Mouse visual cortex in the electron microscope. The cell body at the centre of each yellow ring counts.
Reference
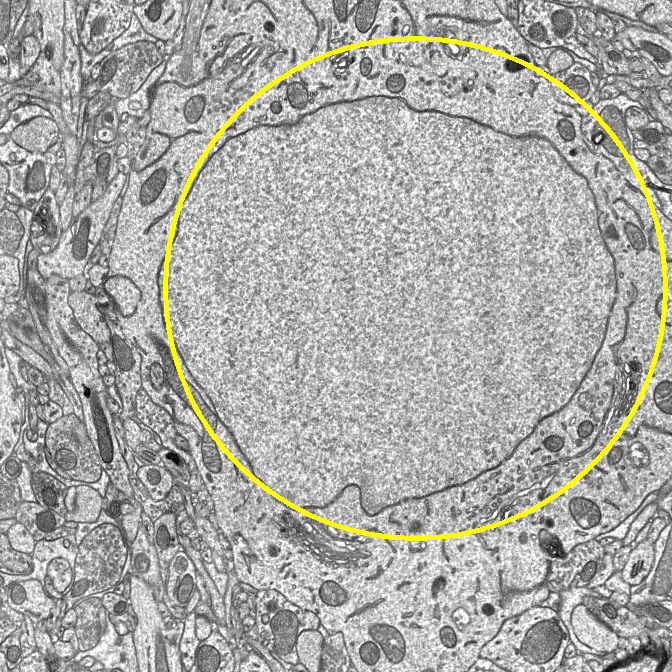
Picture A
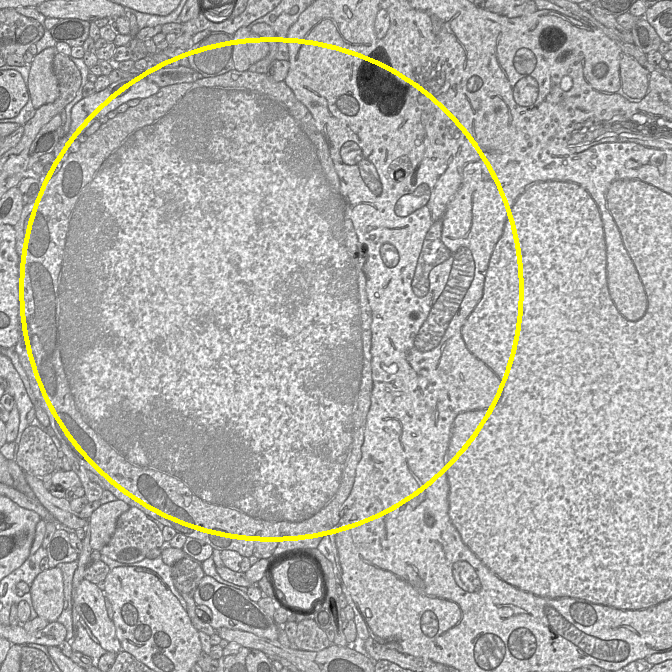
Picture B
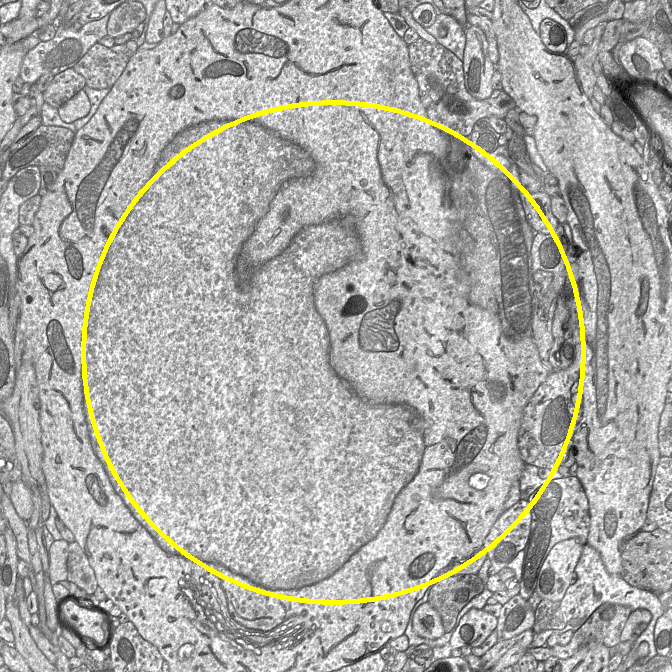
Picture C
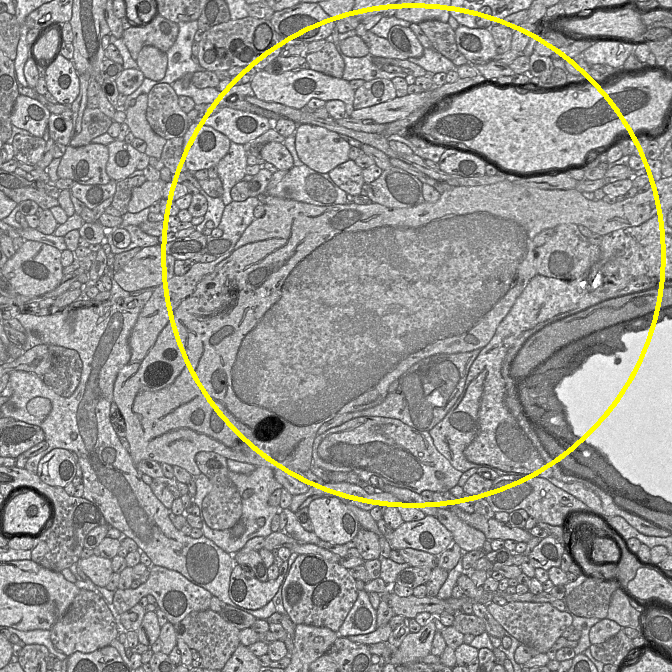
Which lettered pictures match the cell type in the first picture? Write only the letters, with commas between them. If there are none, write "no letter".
no letter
